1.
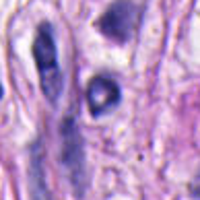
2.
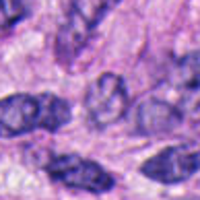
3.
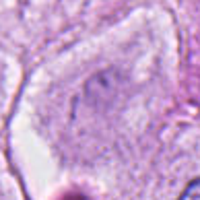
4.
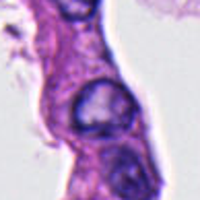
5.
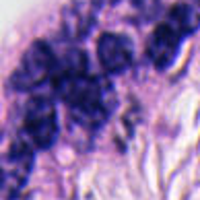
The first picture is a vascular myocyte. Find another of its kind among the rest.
Picture 2.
